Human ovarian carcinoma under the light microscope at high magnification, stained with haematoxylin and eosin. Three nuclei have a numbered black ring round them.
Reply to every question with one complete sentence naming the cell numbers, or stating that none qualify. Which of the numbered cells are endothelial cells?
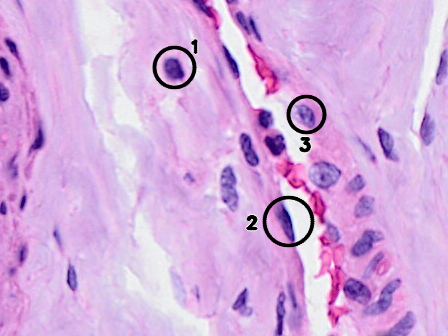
In terms of cell type, cells 2 and 3 are endothelial cells.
